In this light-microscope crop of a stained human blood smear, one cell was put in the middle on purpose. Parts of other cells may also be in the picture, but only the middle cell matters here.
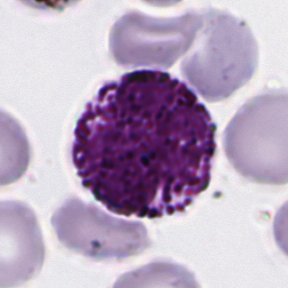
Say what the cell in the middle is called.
basophil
